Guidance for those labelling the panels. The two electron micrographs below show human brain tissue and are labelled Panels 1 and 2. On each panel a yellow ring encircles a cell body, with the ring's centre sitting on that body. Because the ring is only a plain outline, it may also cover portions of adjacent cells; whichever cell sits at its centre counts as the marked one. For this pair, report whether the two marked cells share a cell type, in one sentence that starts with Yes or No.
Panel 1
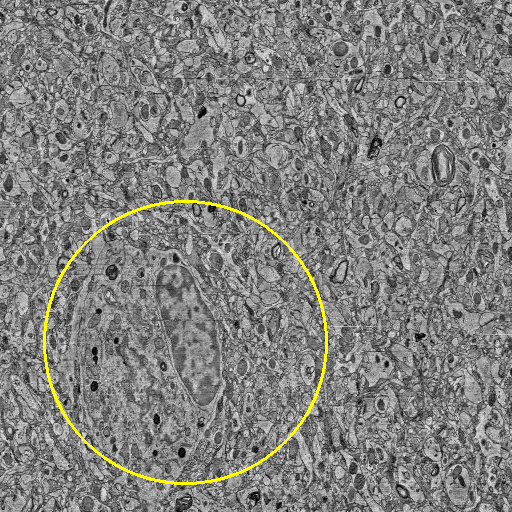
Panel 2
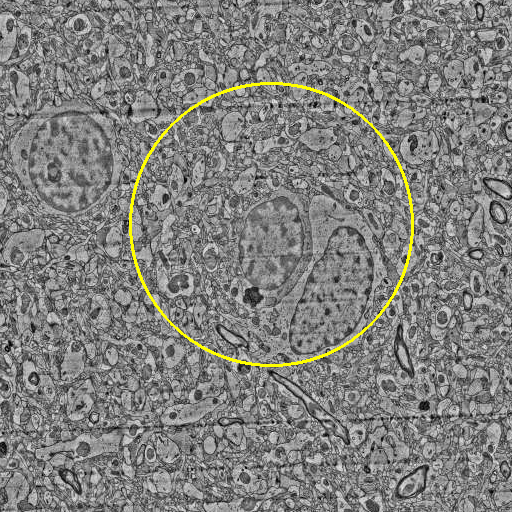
No, in Panel 1 and Panel 2 the marked cells at the ring centres are of two types.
